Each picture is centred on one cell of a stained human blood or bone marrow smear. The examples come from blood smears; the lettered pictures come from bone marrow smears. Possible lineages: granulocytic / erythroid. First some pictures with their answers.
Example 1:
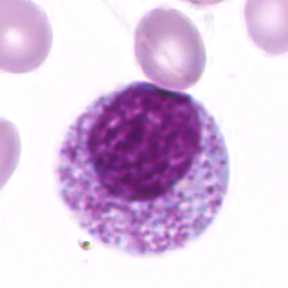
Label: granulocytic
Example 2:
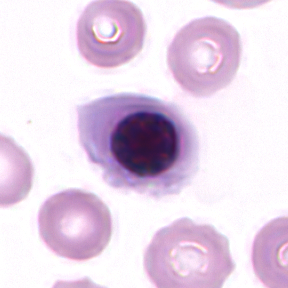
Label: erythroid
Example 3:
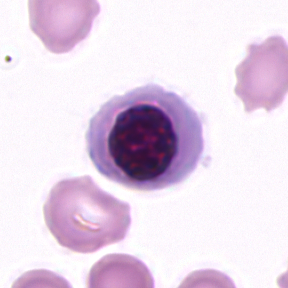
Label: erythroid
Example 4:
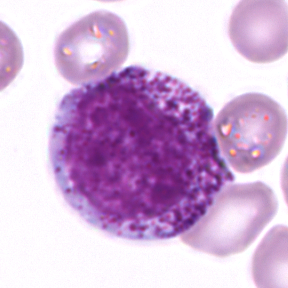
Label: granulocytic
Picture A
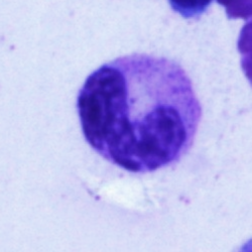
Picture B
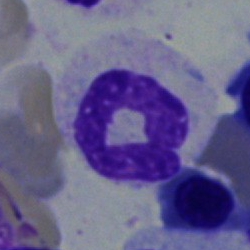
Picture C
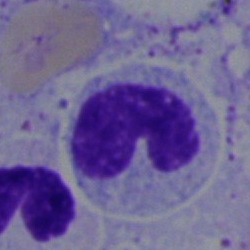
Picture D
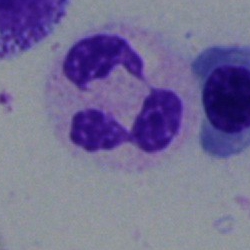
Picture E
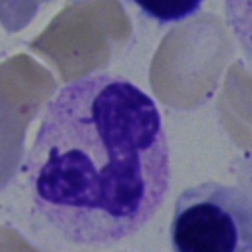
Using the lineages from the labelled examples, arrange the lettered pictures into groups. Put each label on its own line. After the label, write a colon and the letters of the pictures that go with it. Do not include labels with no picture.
granulocytic: A, B, C, D, E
